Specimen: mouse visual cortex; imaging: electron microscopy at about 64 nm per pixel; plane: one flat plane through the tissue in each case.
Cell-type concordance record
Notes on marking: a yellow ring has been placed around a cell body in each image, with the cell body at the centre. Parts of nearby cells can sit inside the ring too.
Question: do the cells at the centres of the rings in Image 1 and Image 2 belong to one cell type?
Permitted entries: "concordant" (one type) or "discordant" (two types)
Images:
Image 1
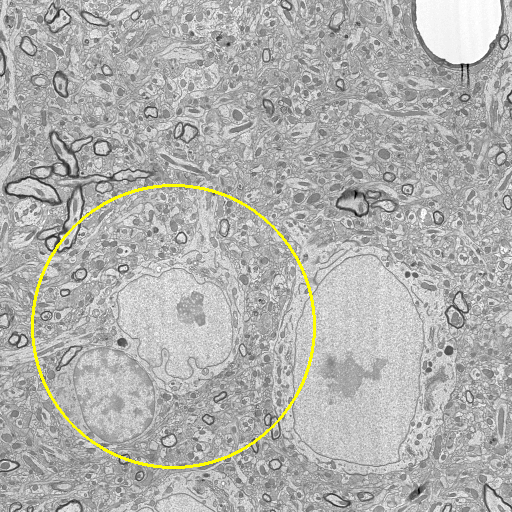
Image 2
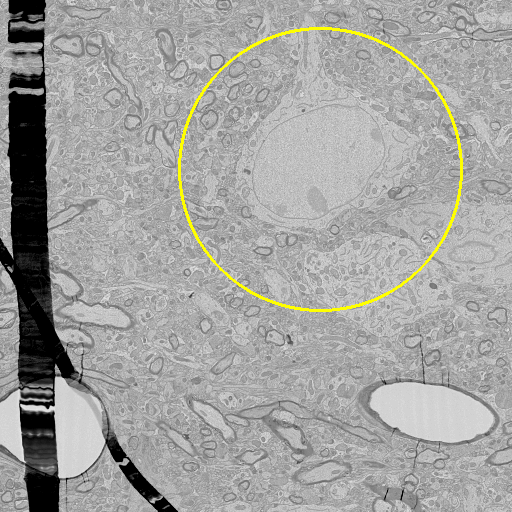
discordant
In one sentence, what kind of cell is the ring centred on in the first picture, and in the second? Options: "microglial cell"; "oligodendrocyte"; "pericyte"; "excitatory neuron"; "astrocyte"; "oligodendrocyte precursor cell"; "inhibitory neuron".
The cell at the centre of the second ring is an excitatory neuron; the first ring's cell is an inhibitory neuron.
